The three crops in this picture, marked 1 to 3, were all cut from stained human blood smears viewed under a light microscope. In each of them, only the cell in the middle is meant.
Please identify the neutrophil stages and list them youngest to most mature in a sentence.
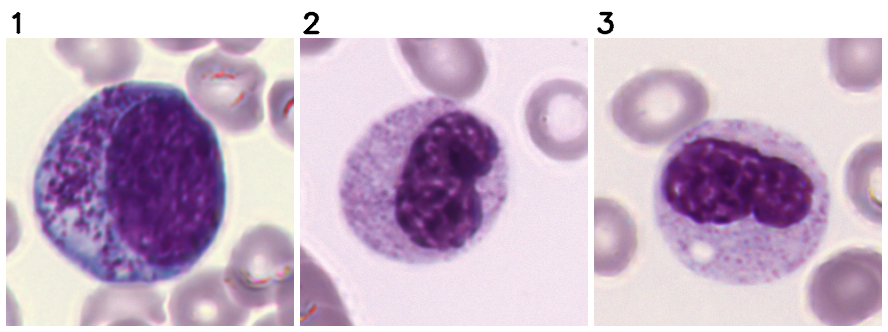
Least mature to most mature, the lineup is crop 1 (a promyelocyte), crop 2 (a metamyelocyte) and crop 3 (a band neutrophil).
